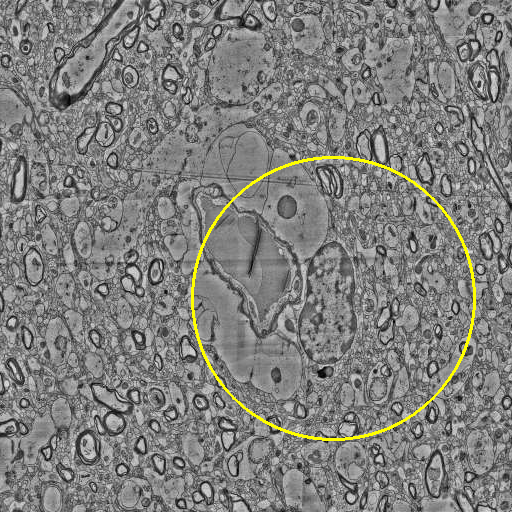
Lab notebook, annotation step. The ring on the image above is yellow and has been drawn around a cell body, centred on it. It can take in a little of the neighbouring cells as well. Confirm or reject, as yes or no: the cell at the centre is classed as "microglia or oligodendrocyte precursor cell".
Yes, confirmed for that class.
